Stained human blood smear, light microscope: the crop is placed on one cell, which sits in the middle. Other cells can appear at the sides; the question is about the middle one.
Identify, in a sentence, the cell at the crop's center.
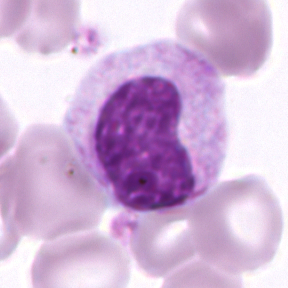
The cell centred in this crop is categorized as a metamyelocyte.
